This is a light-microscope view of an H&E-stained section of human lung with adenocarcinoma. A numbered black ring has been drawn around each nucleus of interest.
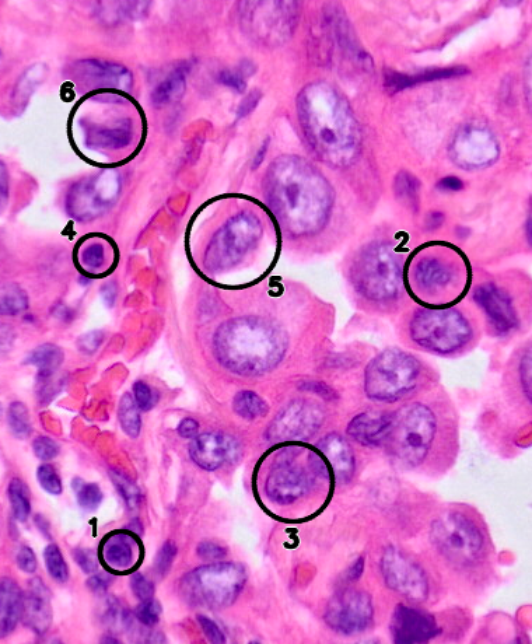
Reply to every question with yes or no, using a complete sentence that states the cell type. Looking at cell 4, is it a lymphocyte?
Yes, exactly, the cell numbered 4 is a lymphocyte.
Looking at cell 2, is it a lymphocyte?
No, cell 2 is to be read as a carcinoma cell, not a lymphocyte.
